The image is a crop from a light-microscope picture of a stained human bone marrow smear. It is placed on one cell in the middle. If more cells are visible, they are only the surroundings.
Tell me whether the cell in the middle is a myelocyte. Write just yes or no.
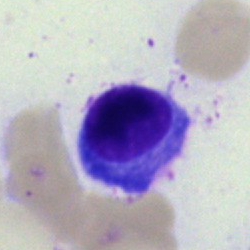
no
